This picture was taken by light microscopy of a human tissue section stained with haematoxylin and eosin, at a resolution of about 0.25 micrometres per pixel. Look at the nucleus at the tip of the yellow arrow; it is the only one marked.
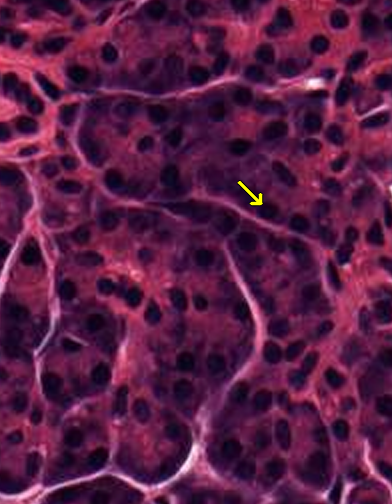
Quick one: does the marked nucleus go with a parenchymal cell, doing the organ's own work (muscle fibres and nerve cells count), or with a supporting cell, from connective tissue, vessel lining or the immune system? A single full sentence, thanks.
The marked nucleus belongs to one of the parenchymal cells, namely a pancreatic acinar cell.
